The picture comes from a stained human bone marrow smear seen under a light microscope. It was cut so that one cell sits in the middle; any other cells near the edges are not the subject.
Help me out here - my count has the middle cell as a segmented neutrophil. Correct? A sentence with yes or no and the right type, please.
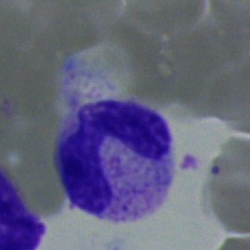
No, what the centre of the crop shows is a band neutrophil, not a segmented neutrophil.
